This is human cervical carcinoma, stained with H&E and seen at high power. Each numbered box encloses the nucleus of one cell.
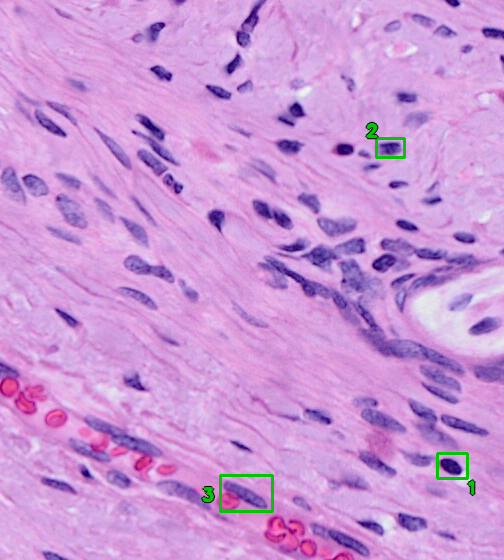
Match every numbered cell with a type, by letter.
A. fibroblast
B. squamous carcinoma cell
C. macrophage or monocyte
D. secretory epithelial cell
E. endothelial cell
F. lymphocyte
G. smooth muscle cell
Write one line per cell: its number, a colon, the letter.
1: F
2: A
3: E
